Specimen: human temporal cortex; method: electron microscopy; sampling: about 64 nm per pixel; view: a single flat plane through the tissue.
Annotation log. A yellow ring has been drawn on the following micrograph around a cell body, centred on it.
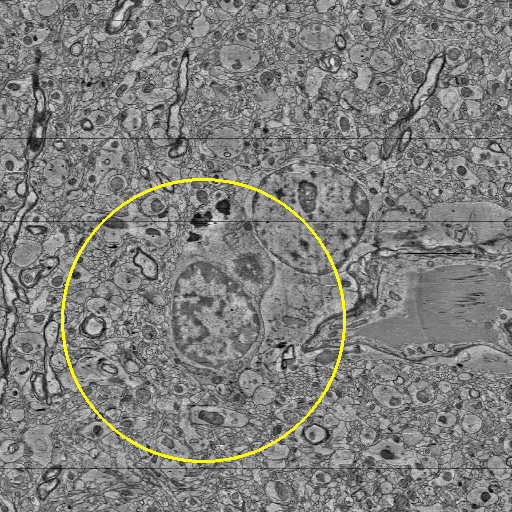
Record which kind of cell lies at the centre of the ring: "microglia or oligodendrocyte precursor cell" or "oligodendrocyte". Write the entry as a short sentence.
The cell the ring is centred on is an oligodendrocyte.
